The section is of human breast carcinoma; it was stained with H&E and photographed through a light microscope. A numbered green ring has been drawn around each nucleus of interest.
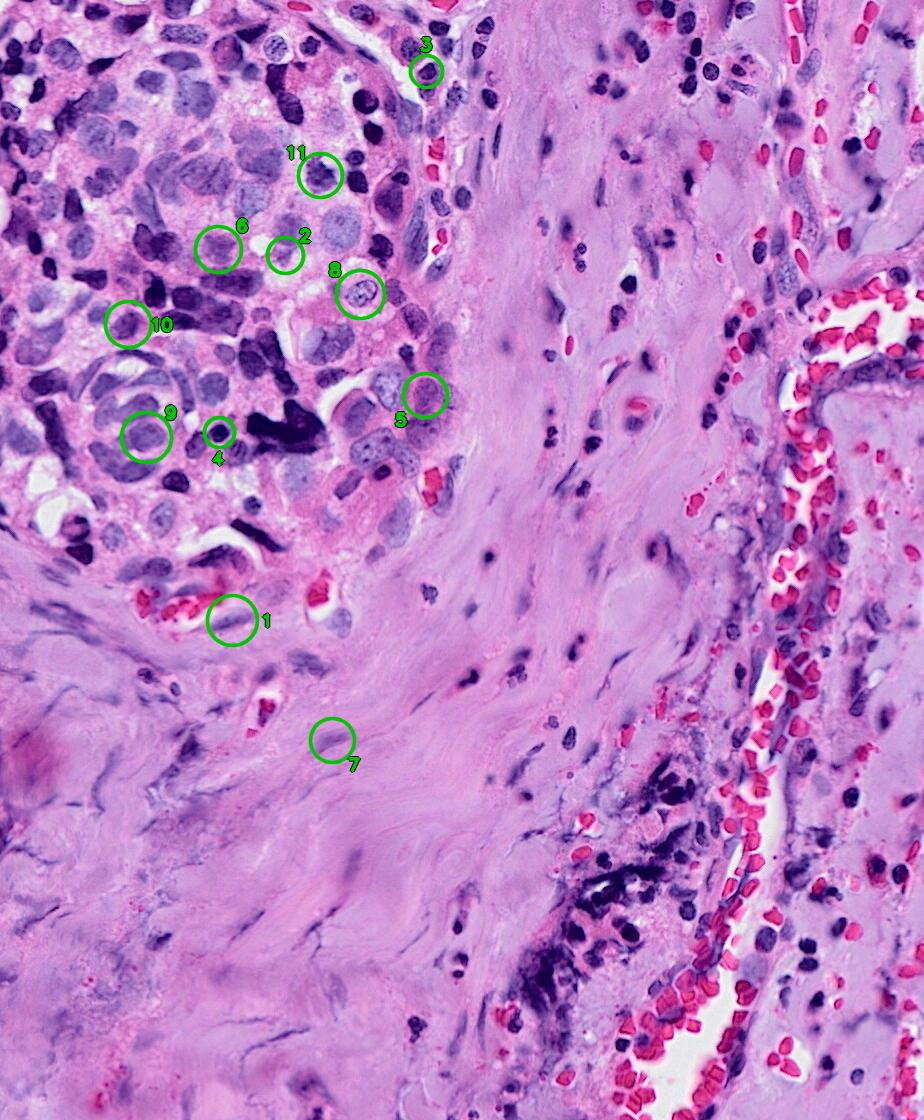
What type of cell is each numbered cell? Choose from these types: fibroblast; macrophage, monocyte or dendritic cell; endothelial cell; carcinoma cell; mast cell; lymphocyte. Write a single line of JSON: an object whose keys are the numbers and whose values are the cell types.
{"1": "endothelial cell", "2": "carcinoma cell", "3": "lymphocyte", "4": "lymphocyte", "5": "carcinoma cell", "6": "carcinoma cell", "7": "fibroblast", "8": "macrophage, monocyte or dendritic cell", "9": "carcinoma cell", "10": "carcinoma cell", "11": "carcinoma cell"}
